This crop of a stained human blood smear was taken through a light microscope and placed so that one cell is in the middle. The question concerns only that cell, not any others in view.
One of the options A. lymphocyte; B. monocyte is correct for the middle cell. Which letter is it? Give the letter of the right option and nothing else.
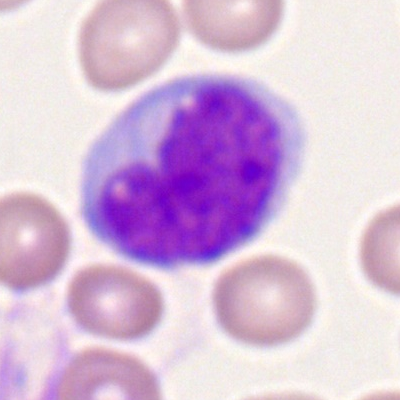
B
